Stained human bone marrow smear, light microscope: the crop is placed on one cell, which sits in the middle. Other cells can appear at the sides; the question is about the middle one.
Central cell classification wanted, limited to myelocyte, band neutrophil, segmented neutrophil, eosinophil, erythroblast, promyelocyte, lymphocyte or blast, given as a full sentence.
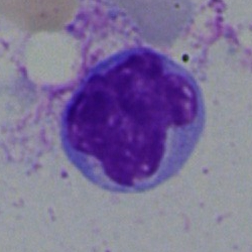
What sits at the centre of this crop is a lymphocyte.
